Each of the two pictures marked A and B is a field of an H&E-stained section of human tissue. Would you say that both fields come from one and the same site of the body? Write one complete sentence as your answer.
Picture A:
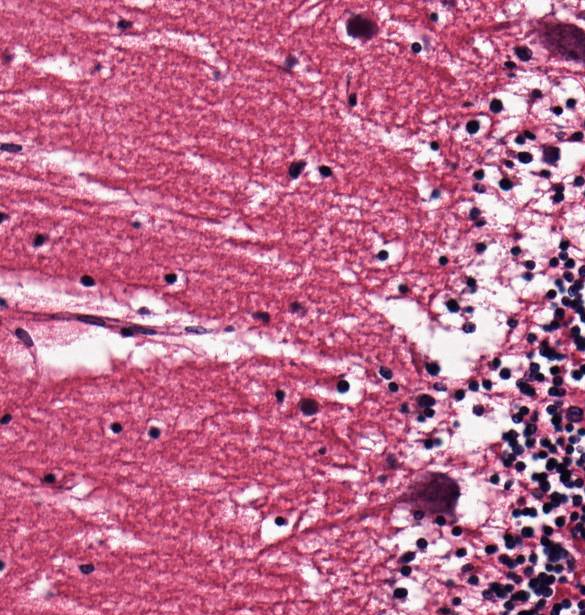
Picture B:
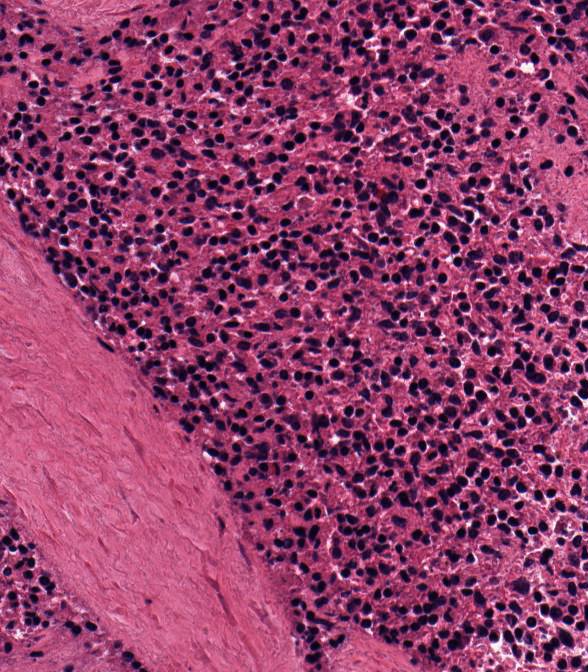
No, they differ: picture A comes from the cerebellum, and picture B comes from the spleen.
